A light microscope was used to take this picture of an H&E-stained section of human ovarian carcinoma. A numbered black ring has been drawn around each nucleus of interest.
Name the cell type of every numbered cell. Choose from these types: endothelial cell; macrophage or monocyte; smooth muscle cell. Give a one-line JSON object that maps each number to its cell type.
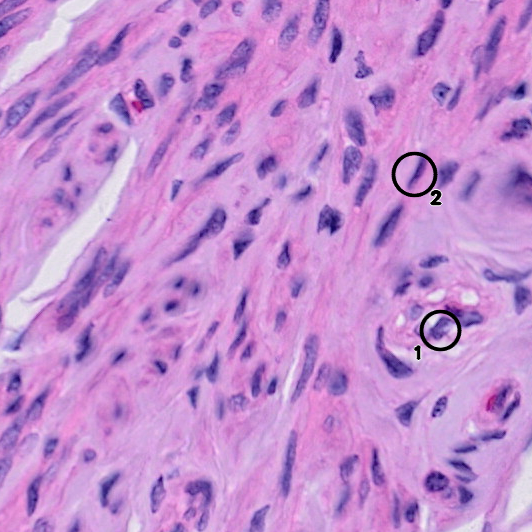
{"1": "endothelial cell", "2": "smooth muscle cell"}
